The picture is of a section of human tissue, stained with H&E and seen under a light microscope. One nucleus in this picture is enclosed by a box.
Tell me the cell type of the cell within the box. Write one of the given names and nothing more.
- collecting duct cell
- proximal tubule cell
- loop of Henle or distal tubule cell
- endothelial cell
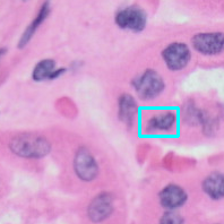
collecting duct cell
